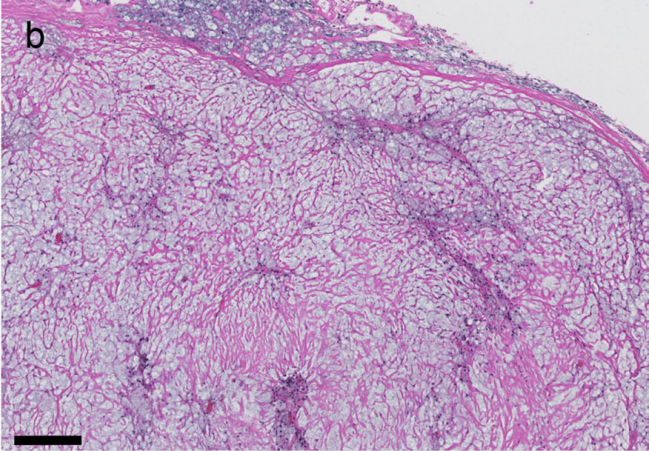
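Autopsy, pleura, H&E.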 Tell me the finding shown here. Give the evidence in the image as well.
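Nodular lesion. A rounded mass of pale bluish-grey vacuolated tissue fills the field. Fine pink fibrous strands form a network through the mass. A thin pink membrane runs along its upper surface.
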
